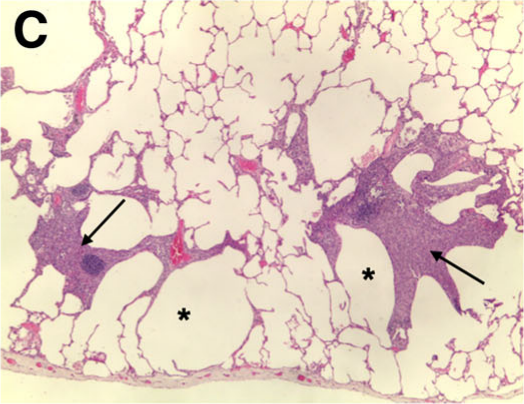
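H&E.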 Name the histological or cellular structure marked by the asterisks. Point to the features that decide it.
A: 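Small cysts. Each asterisk lies in a large, empty, rounded airspace much bigger than the surrounding alveoli.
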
